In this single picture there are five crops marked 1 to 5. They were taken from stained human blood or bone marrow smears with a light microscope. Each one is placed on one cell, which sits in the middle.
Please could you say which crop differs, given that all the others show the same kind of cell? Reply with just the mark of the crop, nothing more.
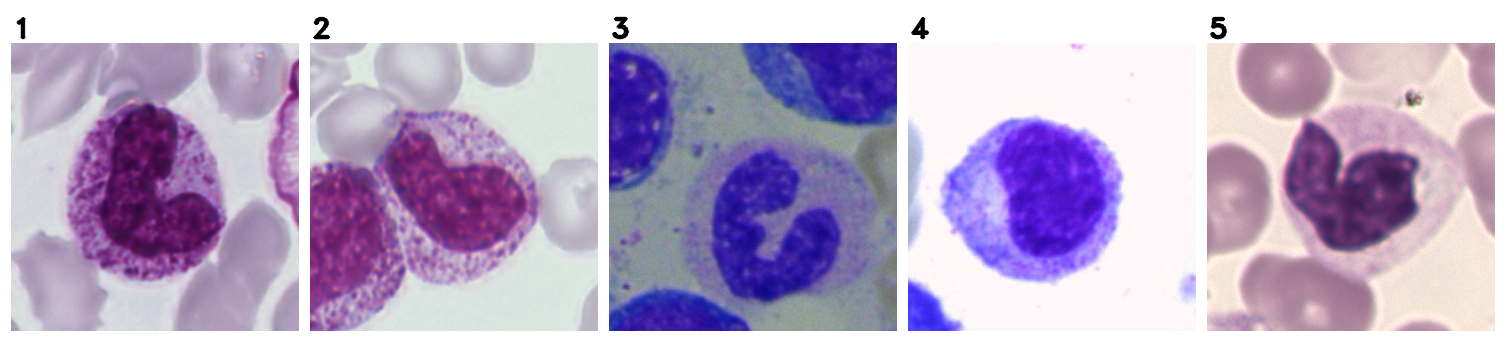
4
